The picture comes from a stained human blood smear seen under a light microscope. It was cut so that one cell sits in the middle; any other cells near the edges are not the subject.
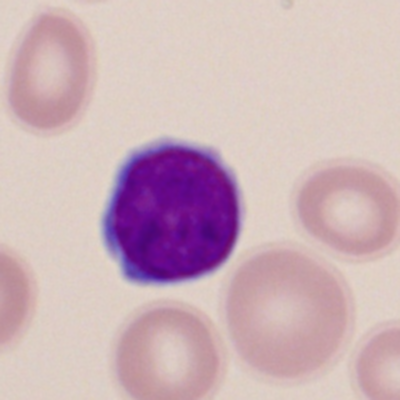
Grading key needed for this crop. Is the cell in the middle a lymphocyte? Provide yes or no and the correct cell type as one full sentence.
Yes, the cell positioned in the middle is a lymphocyte.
